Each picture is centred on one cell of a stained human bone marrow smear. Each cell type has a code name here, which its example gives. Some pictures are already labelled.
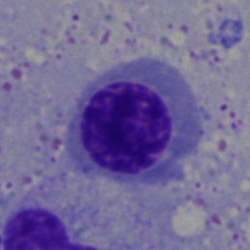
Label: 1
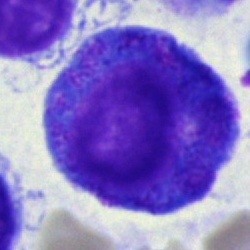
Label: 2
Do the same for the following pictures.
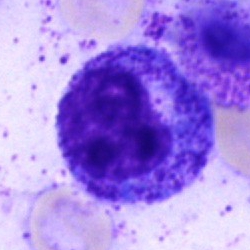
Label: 2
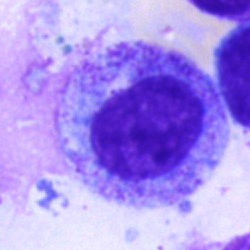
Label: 2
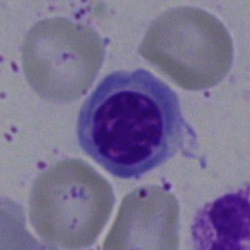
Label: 1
